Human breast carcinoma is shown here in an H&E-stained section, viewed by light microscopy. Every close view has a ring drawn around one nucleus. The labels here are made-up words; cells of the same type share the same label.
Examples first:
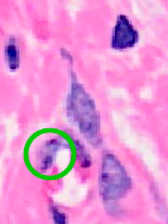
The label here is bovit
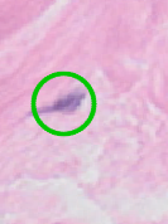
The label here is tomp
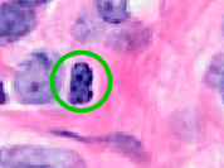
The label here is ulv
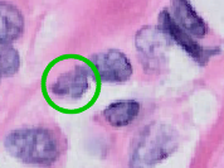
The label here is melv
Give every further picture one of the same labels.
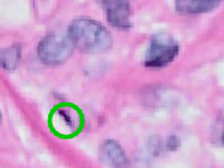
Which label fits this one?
bovit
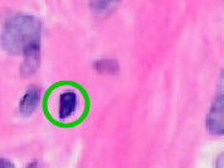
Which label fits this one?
ulv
